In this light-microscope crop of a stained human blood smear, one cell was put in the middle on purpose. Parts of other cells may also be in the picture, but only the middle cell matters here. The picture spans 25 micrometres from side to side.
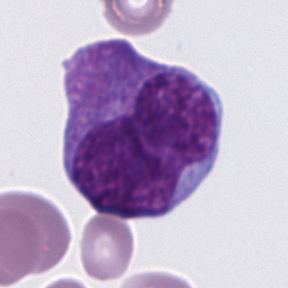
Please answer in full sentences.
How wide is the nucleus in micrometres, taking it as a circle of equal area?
The diameter of the nucleus comes to about 11 micrometres.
